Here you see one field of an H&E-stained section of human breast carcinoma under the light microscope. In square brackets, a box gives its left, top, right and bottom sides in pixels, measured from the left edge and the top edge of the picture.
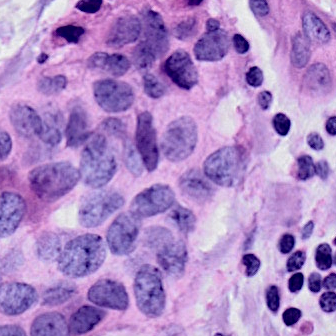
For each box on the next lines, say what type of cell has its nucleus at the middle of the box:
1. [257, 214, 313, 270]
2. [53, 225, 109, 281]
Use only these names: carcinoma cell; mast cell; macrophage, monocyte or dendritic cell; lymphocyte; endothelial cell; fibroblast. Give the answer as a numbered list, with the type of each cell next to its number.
1. lymphocyte
2. carcinoma cell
